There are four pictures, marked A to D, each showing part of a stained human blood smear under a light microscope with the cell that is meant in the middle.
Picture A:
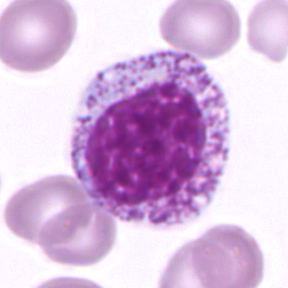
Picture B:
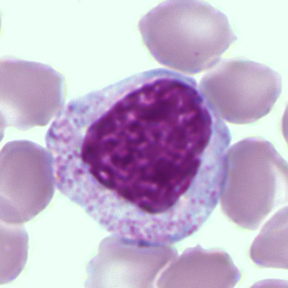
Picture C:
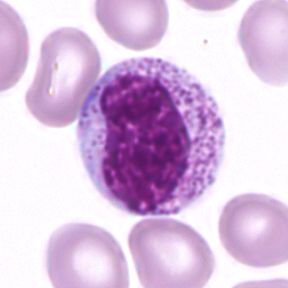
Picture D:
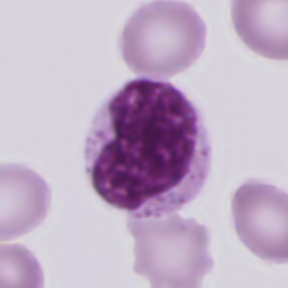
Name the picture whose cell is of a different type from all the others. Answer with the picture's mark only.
A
